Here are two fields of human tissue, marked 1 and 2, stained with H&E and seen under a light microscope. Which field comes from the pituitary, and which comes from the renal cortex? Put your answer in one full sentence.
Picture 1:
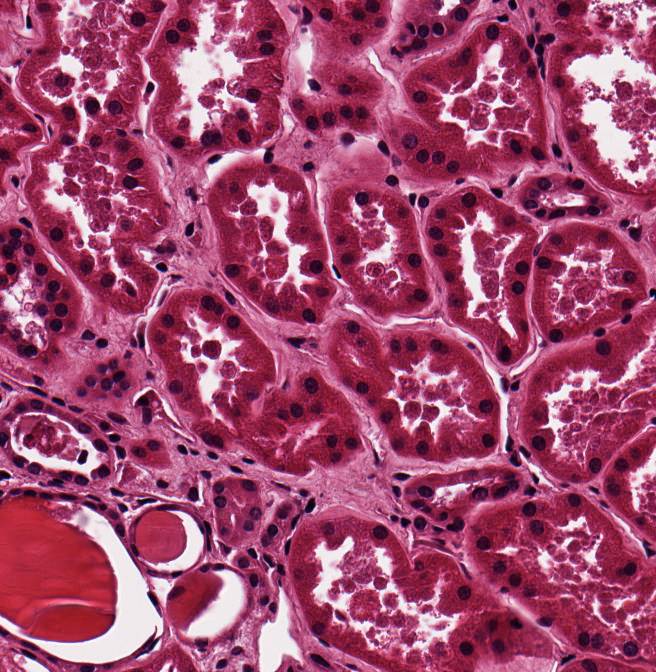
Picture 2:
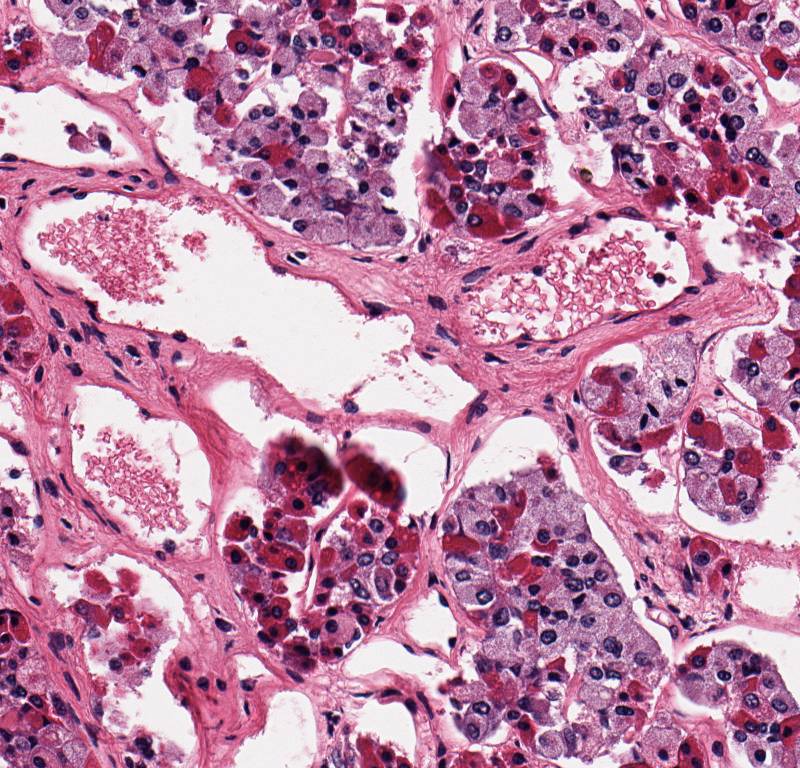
Picture 1 comes from the renal cortex; picture 2 comes from the pituitary.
